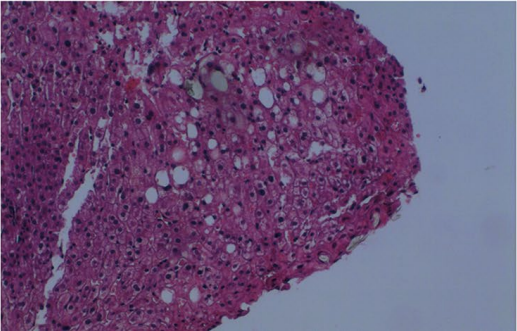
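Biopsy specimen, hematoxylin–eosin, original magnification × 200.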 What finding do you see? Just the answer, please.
Steatosis.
